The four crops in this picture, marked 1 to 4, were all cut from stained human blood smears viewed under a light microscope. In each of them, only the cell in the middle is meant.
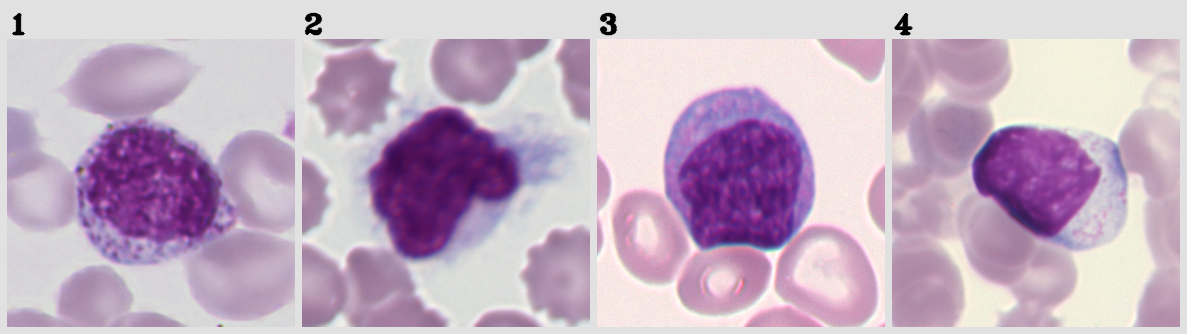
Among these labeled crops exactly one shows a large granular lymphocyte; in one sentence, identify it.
Crop 4, and no other, shows a large granular lymphocyte.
